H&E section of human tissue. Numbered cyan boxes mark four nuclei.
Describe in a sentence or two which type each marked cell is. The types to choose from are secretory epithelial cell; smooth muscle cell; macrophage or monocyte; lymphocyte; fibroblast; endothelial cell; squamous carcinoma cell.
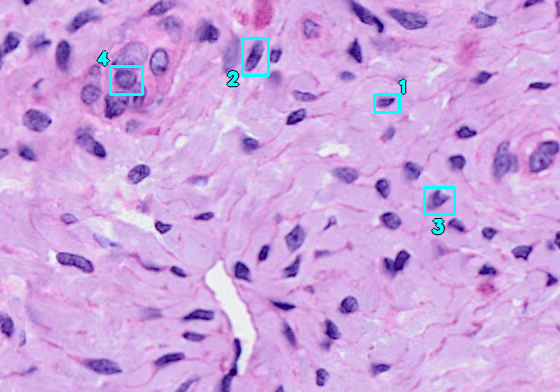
Cells 1, 2 and 3 are fibroblasts. Cell 4 is an endothelial cell.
